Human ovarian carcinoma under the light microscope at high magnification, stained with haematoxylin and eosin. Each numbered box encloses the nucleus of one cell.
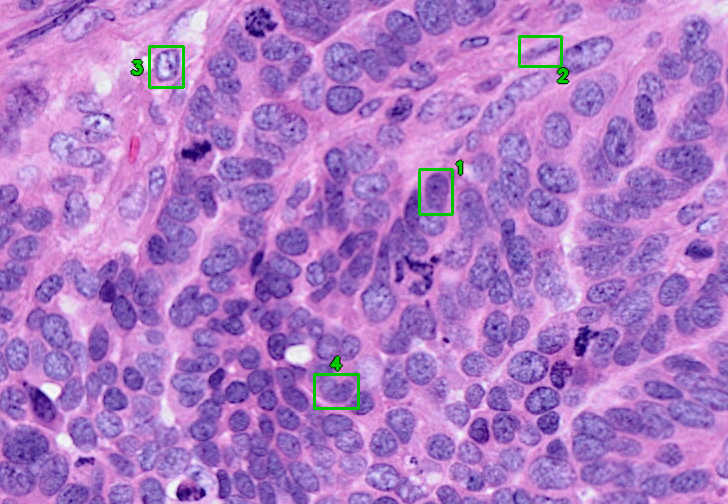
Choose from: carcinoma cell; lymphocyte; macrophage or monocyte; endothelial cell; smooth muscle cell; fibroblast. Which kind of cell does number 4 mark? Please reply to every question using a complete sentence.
Identified as a carcinoma cell is the cell bearing the number 4.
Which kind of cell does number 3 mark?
Here the cell numbered 3 is a fibroblast.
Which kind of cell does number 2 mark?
Heads up, the cell numbered 2 is a fibroblast.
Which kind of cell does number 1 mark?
The cell whose nucleus carries the number 1 is a carcinoma cell.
